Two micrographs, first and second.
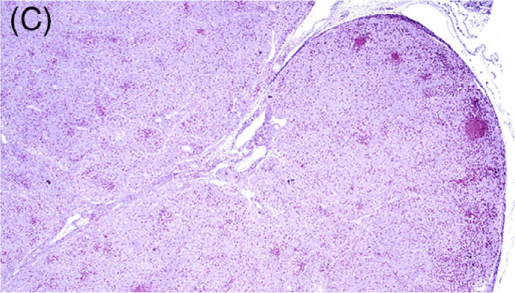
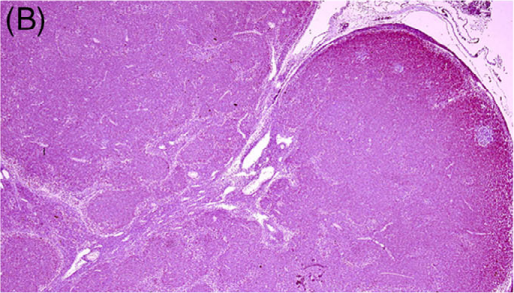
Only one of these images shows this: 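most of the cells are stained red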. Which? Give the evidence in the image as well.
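First image: the tissue is mostly pale blue with only scattered small red foci. Second image: the tissue is diffusely pink-red throughout the dense cell sheets. The answer: the second image.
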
